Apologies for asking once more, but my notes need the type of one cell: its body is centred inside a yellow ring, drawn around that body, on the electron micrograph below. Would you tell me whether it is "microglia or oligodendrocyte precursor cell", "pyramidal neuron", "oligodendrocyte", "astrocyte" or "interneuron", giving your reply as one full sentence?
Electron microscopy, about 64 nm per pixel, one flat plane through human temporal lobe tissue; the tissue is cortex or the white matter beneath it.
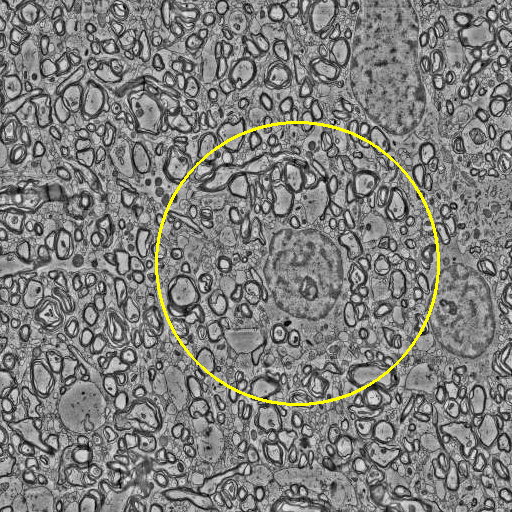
The cell that the yellow ring is centred on is an oligodendrocyte in this micrograph.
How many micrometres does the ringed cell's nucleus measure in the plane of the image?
Roughly 6 by 5 micrometres in this plane, for the nucleus of the ringed cell.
